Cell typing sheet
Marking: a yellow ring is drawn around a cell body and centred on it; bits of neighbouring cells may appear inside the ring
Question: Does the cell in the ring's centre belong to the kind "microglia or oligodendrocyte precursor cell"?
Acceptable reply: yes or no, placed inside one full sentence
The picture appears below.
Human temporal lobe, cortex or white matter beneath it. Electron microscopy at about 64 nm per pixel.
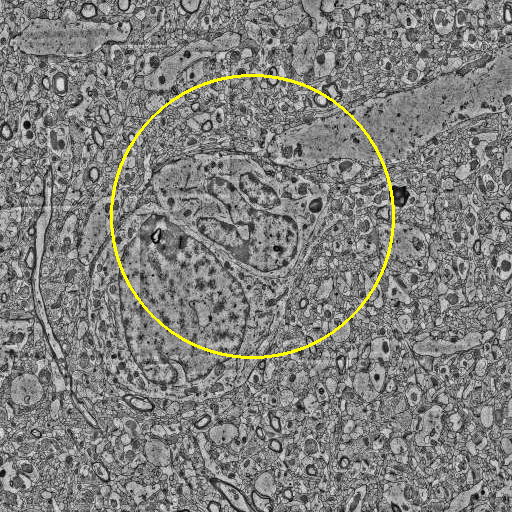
Yes, the cell in the centre of the ring is of the kind asked about.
